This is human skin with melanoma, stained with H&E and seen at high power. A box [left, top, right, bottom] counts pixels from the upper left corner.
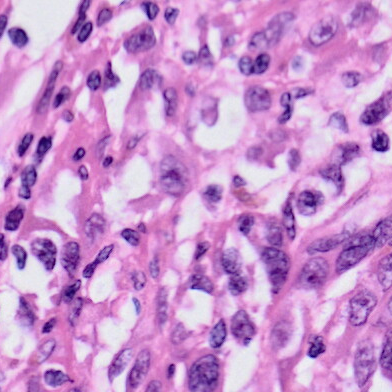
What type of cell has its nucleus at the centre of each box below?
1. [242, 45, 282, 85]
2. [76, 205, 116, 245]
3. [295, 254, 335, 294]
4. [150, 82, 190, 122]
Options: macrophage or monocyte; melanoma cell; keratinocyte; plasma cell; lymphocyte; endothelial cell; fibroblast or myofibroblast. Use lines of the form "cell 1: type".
cell 1: lymphocyte
cell 2: melanoma cell
cell 3: melanoma cell
cell 4: melanoma cell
